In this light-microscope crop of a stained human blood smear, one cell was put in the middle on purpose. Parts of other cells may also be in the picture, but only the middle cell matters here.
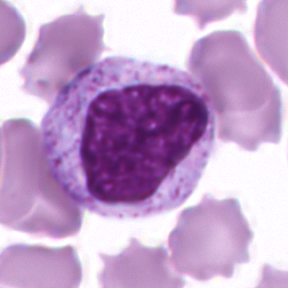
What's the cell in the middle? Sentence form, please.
Framed in the middle of the crop is a metamyelocyte.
